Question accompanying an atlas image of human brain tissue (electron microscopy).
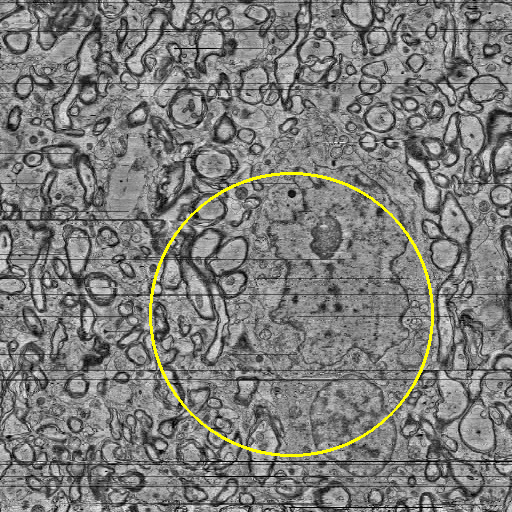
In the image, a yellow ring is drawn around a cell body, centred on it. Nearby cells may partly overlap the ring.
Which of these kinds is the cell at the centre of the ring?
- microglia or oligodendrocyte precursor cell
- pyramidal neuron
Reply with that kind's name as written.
pyramidal neuron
